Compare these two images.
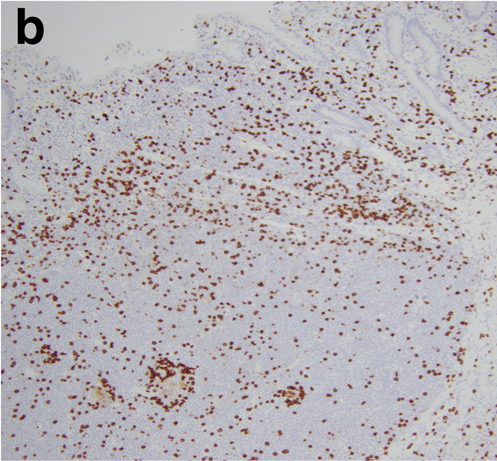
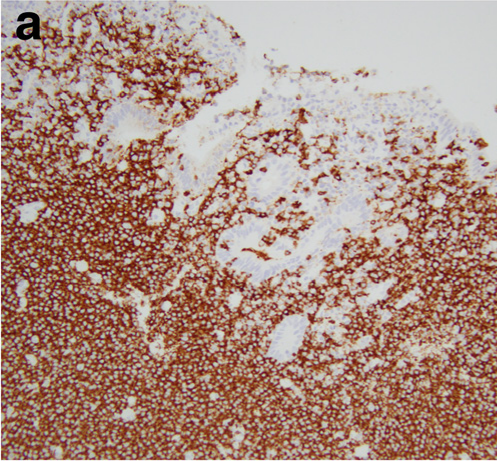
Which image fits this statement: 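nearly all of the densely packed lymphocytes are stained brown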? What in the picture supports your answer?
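First image: only scattered small cells are brown while the dense sheet stays blue. Second image: the dense sheet of small cells is almost entirely outlined in brown.
Answer: the second image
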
